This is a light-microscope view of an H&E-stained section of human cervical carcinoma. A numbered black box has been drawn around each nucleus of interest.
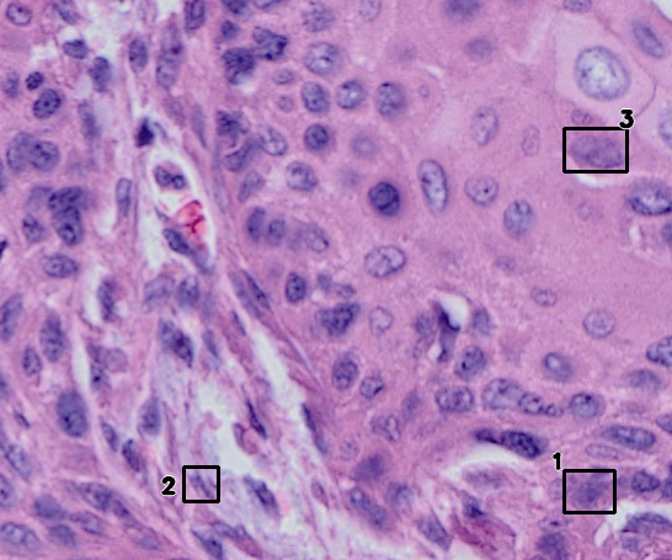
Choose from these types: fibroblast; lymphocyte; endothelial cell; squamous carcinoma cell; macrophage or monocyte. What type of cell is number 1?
squamous carcinoma cell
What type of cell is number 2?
fibroblast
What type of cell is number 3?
squamous carcinoma cell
